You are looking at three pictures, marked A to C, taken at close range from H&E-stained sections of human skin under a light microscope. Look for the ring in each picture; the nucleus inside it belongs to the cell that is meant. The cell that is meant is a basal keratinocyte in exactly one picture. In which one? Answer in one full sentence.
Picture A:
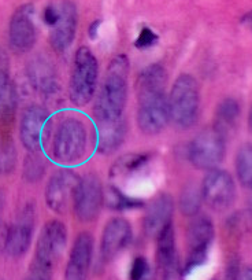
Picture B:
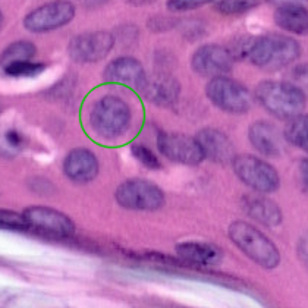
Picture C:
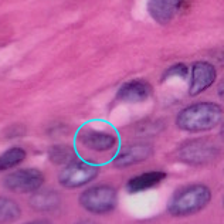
It is picture C that shows the basal keratinocyte.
